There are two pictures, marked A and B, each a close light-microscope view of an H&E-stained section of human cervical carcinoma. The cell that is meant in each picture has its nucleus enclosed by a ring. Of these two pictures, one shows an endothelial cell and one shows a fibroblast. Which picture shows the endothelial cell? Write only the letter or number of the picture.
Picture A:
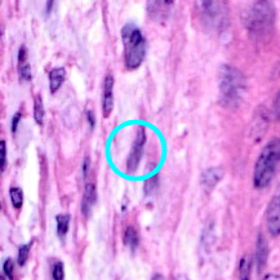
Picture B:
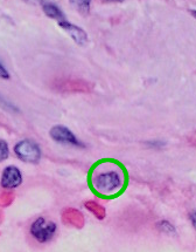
B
